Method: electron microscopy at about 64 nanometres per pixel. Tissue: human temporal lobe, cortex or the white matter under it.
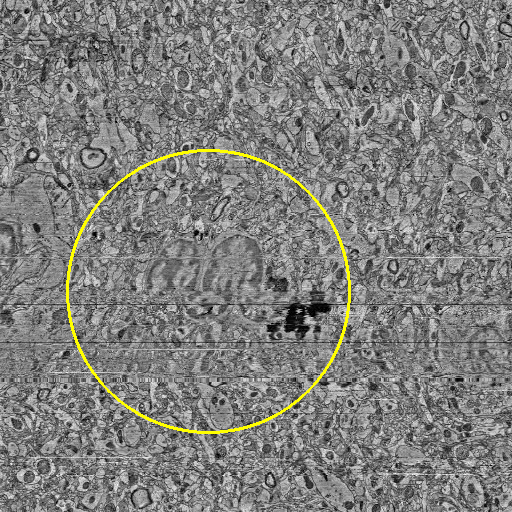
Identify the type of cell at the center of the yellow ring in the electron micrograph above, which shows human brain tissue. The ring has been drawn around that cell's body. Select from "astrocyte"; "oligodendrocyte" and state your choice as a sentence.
The yellow ring is centered on the body of an oligodendrocyte.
